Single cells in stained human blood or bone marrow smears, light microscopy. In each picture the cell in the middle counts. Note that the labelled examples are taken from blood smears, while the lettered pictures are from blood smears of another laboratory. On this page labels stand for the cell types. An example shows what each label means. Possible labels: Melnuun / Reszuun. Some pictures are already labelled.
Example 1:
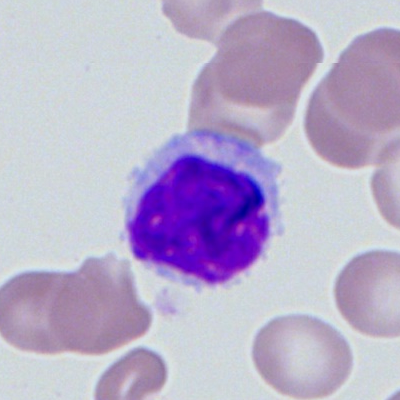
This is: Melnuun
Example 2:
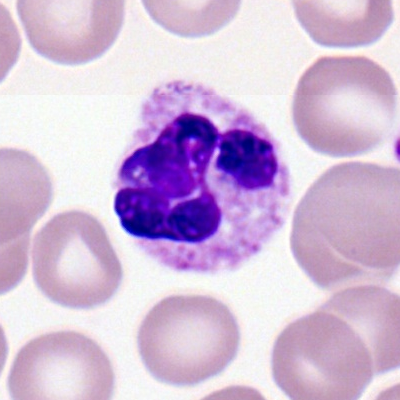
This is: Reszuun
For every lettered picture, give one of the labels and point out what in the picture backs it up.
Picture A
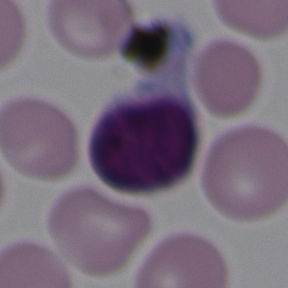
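Melnuun. The nucleus fills most of the cell.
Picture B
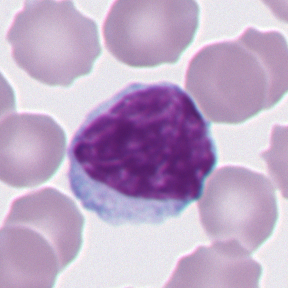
Melnuun. The nucleus fills most of the cell and sits toward its upper right.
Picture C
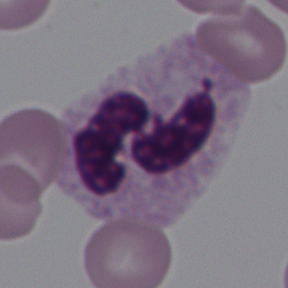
Reszuun. The nucleus forms two main masses lying side by side.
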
